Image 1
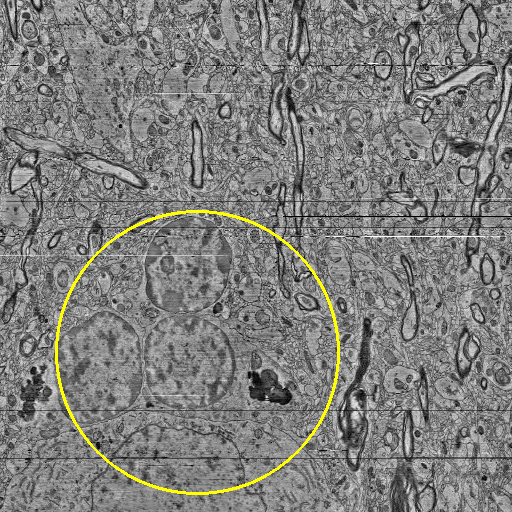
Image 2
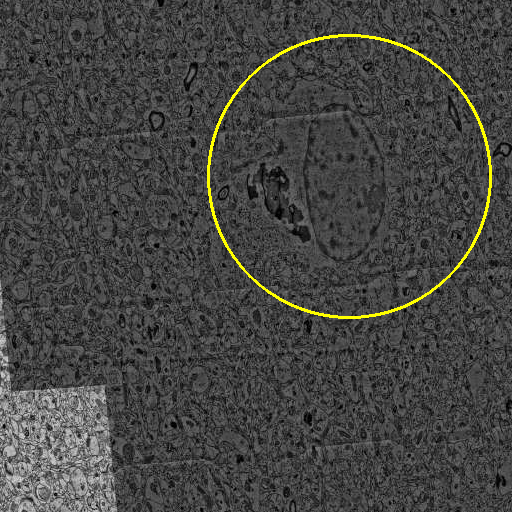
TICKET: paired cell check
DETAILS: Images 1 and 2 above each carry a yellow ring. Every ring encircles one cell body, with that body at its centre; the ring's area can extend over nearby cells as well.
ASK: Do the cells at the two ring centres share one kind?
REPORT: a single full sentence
No, the ring-centre cells of Images 1 and 2 belong to two kinds.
